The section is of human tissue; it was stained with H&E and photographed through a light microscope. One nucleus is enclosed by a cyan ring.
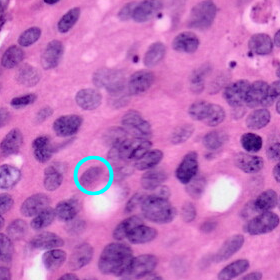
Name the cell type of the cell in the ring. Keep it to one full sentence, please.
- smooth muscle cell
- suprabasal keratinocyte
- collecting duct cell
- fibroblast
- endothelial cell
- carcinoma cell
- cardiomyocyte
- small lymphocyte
In this section, the cell in the ring is a carcinoma cell.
